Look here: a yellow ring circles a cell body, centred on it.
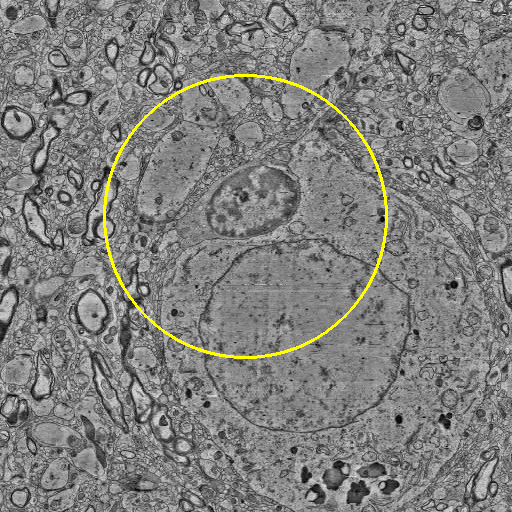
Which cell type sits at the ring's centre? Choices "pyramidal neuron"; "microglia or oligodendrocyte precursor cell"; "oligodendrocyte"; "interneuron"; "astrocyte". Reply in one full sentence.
The cell at the centre of the yellow ring in the picture is an oligodendrocyte.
